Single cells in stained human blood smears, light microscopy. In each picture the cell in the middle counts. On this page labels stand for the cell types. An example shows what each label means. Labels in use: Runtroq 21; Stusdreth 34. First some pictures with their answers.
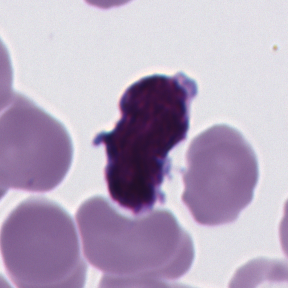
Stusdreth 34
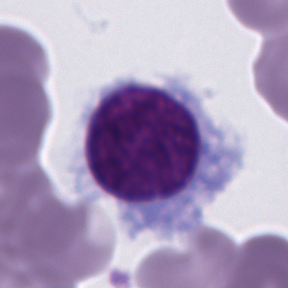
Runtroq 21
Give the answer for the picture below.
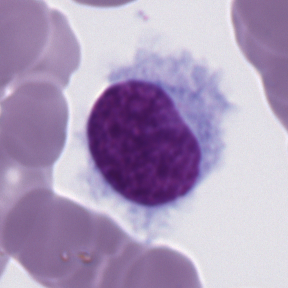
Runtroq 21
